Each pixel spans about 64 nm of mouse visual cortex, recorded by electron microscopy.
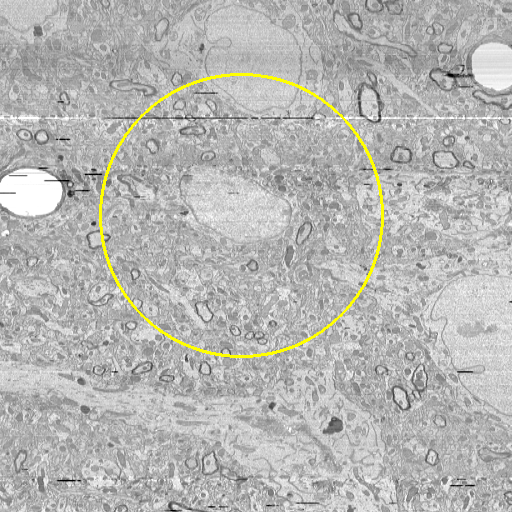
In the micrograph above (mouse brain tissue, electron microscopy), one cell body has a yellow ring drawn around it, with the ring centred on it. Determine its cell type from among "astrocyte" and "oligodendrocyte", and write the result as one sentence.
The cell whose body is ringed is an astrocyte.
